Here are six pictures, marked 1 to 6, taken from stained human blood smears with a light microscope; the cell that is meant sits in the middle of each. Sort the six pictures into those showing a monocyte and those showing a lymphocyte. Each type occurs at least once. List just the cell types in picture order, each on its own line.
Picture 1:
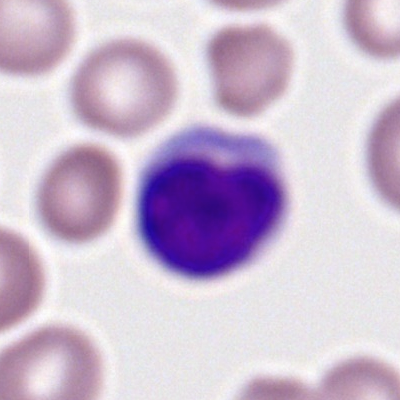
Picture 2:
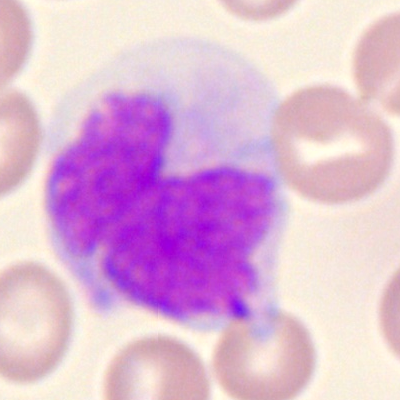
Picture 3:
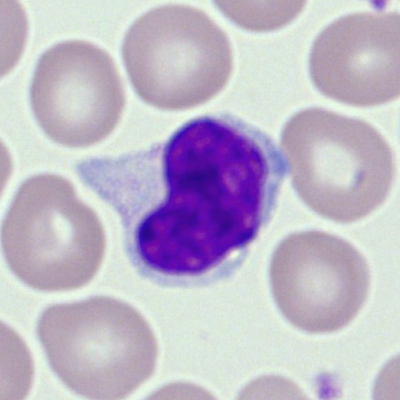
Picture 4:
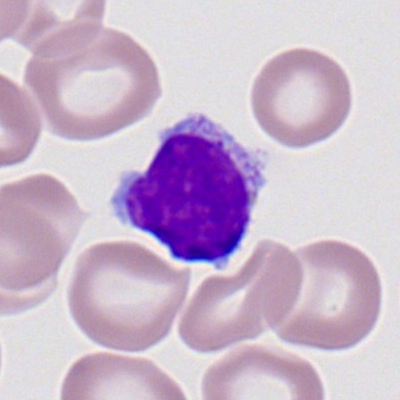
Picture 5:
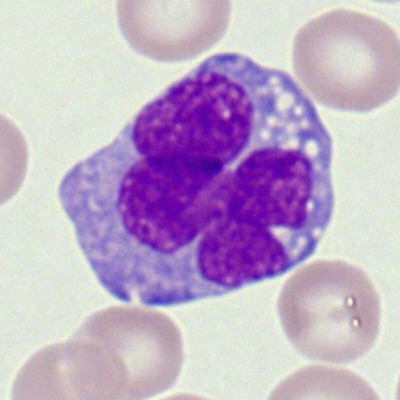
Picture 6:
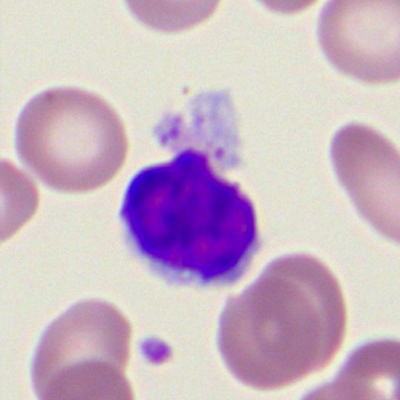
lymphocyte
monocyte
lymphocyte
lymphocyte
monocyte
lymphocyte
